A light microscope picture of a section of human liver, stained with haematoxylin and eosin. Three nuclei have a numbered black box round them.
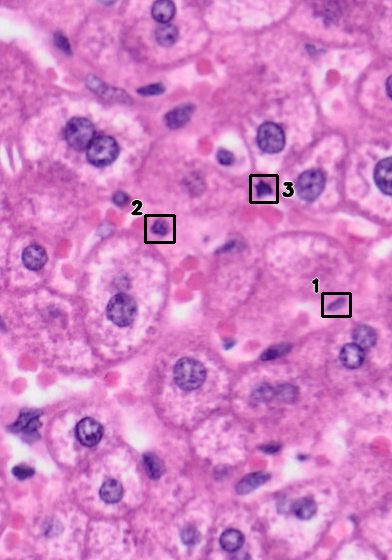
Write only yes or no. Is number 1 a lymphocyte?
yes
